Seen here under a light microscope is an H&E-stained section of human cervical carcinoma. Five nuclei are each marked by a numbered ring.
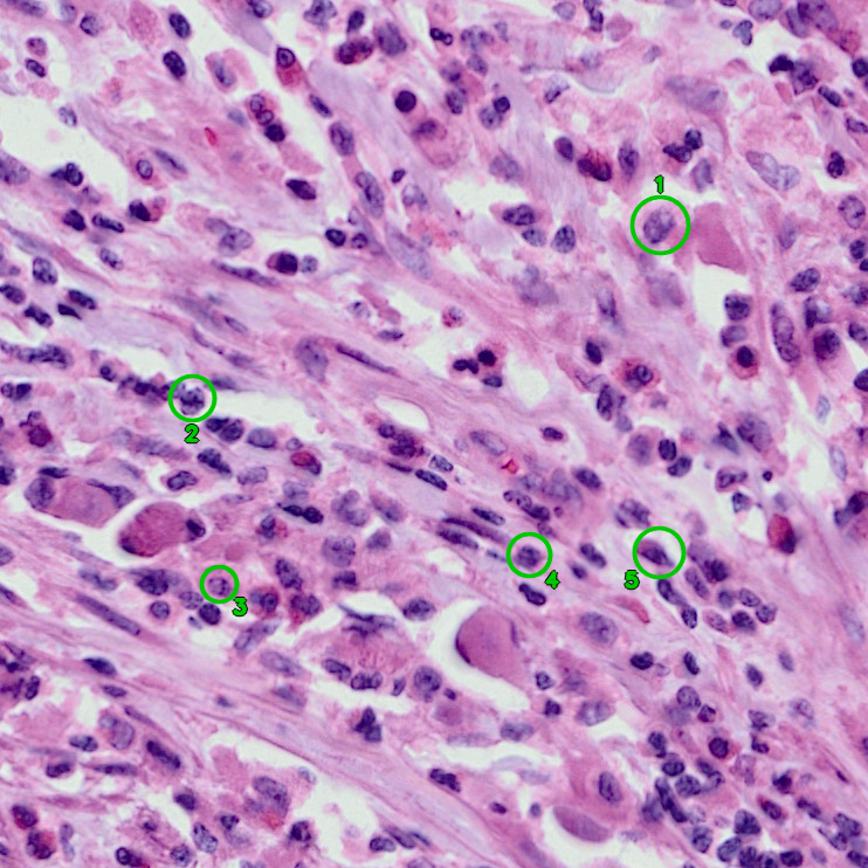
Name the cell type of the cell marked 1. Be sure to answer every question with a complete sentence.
Numbered cell 1 is a macrophage or monocyte in this tissue section.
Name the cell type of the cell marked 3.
The expected answer is that cell 3 is a macrophage or monocyte.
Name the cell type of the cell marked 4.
The numbered cell 4 in this field is a lymphocyte.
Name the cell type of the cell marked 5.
The cell identified by the number 5 is a macrophage or monocyte.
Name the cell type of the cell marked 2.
The cell that carries the label 2 is a lymphocyte.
